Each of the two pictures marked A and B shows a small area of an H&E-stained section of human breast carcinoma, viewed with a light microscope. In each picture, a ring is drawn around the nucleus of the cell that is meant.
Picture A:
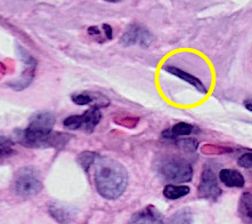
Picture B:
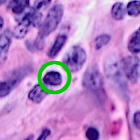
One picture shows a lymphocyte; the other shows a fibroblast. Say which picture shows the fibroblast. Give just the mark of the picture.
A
